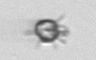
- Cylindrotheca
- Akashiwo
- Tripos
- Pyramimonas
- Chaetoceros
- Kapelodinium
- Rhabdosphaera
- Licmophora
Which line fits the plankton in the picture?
Rhabdosphaera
